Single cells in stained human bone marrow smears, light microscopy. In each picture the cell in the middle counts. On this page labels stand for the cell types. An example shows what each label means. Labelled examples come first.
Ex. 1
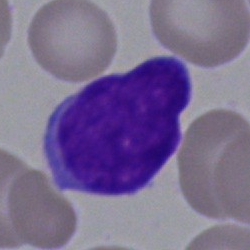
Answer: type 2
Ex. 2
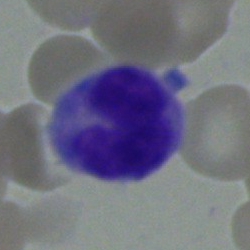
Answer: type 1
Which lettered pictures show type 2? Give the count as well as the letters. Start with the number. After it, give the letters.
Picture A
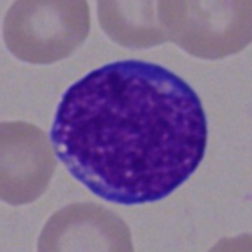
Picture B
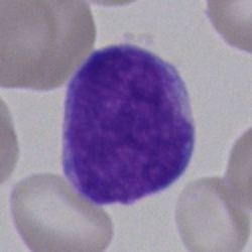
2, namely A, B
